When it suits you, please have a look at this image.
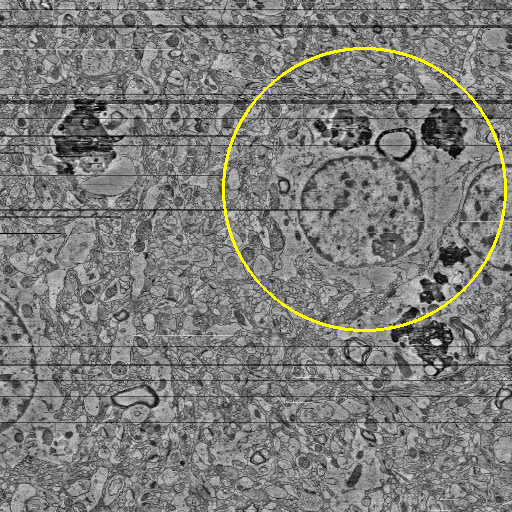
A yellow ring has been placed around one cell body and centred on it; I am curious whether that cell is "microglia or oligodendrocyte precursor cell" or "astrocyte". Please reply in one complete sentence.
The ringed cell, an astrocyte, has its body at the centre of the yellow ring.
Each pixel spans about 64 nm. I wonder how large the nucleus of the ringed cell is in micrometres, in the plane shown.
Approximately 8 micrometers across in this plane.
